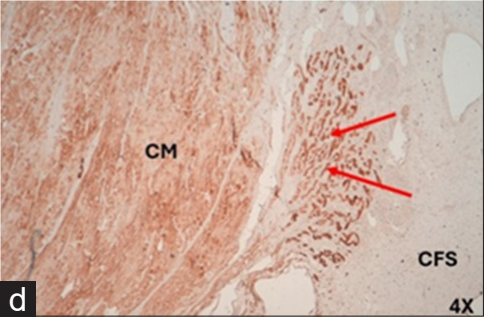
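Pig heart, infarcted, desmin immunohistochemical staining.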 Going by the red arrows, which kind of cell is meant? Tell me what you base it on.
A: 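Nodal cells. The arrowed cells are small, more darkly brown fibres in a cluster. They lie at the edge of a broad, paler brown muscle mass, next to pale fibrous tissue.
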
